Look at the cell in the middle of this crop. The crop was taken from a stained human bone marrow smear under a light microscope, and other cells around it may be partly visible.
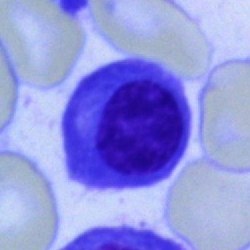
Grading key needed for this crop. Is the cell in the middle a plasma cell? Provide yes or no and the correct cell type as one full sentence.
Yes, in the middle of the crop is a plasma cell.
